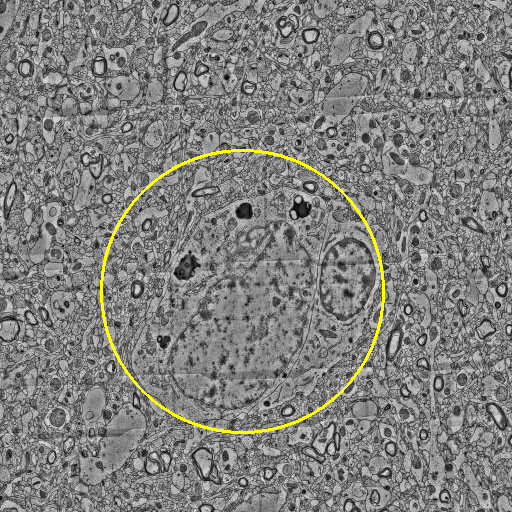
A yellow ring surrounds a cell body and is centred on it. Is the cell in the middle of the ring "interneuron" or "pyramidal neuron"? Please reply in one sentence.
The ring is centred on an interneuron.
